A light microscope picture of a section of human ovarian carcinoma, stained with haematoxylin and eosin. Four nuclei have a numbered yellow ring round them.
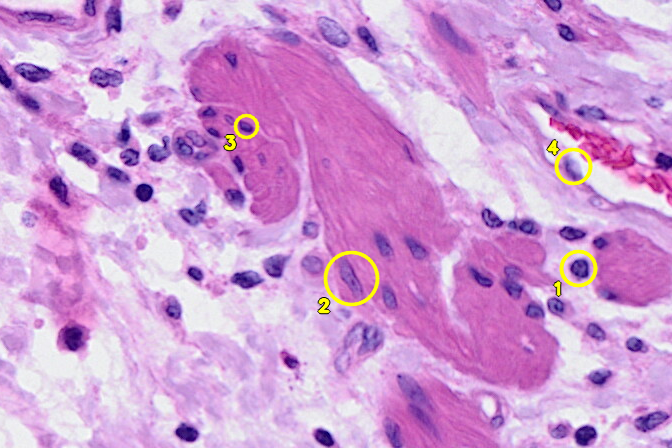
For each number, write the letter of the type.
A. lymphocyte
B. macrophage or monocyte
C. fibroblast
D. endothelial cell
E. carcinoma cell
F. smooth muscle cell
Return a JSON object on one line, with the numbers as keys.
{"1": "A", "2": "F", "3": "F", "4": "D"}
